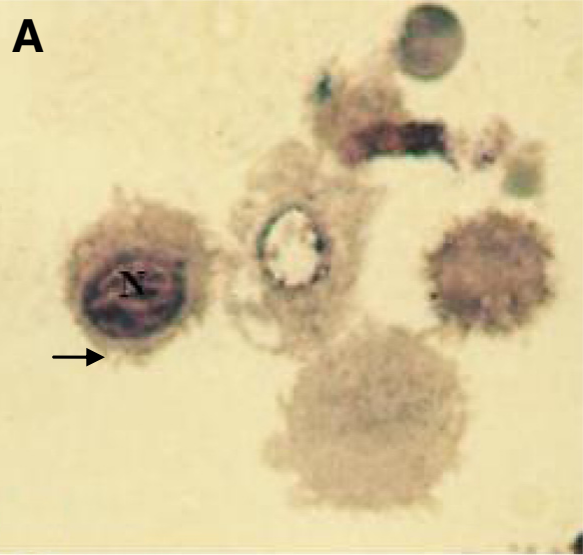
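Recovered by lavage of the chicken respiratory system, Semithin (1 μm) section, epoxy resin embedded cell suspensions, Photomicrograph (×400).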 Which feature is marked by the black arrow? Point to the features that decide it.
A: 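The cell's outline is ruffled with many short, fine spiky projections. The black arrow points at the cell's spiky border. The answer: filopodial extensions.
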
